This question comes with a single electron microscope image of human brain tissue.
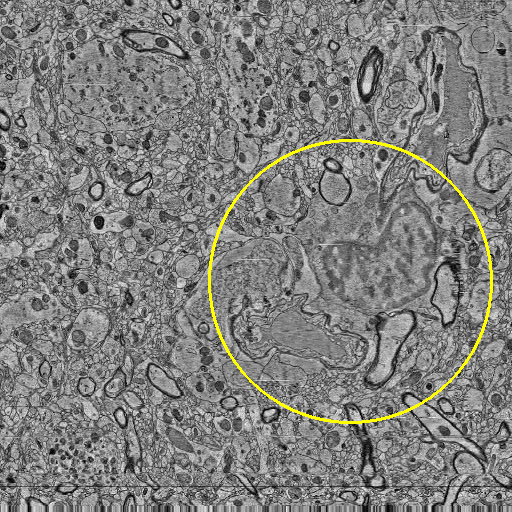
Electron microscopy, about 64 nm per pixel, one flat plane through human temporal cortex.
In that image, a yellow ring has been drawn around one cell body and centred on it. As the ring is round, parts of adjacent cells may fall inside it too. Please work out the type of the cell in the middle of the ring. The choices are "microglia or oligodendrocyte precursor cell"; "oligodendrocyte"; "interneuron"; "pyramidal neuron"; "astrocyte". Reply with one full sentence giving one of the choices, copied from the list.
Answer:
Of the choices, an oligodendrocyte is the cell sitting in the middle of the ring.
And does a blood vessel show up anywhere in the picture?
Yes, a vessel appears in the picture.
